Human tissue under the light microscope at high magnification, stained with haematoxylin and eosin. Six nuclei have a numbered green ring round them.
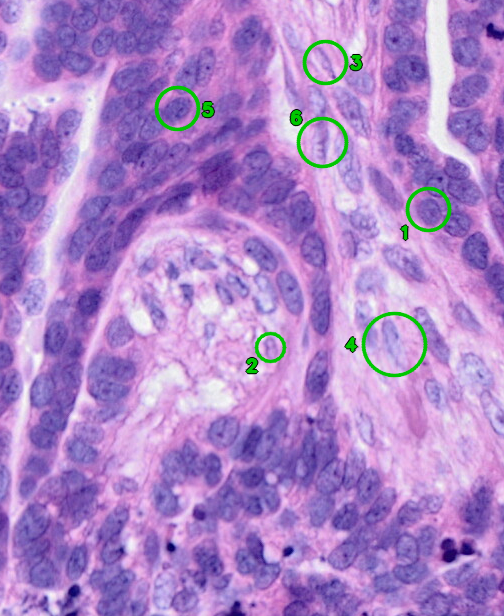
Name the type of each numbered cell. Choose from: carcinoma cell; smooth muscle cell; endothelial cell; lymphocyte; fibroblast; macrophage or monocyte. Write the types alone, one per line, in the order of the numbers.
carcinoma cell
fibroblast
fibroblast
fibroblast
carcinoma cell
fibroblast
